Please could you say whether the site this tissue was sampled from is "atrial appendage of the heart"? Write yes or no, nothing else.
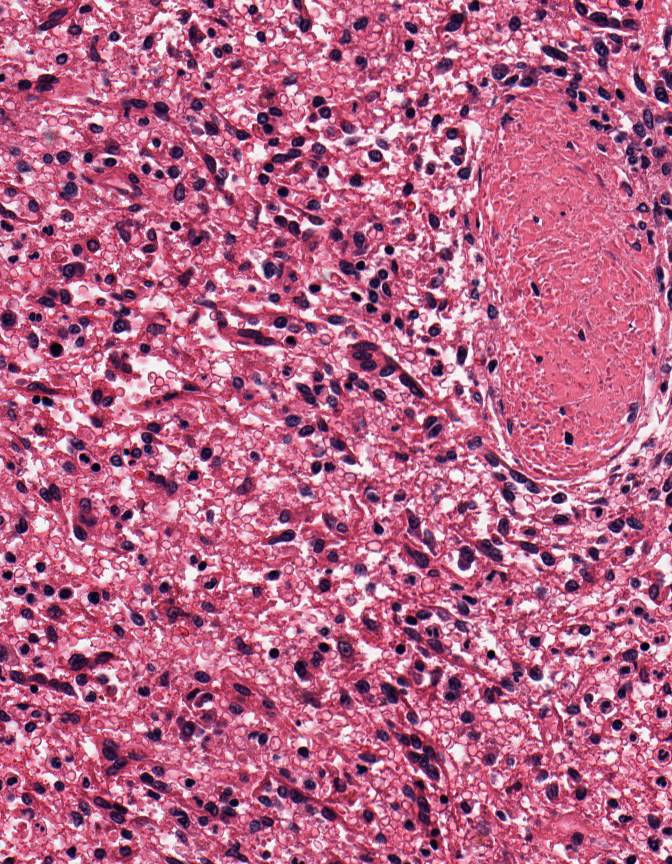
no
